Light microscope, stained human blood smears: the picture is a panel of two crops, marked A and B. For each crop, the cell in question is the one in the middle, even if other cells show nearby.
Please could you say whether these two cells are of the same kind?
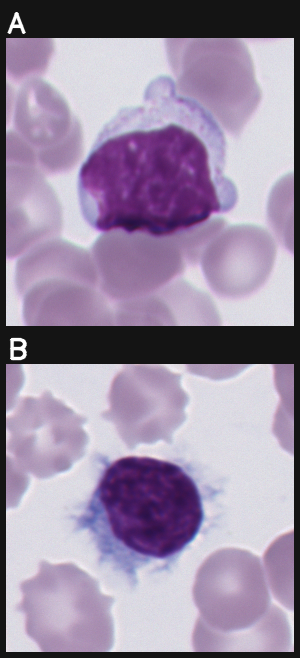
no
